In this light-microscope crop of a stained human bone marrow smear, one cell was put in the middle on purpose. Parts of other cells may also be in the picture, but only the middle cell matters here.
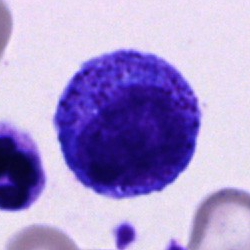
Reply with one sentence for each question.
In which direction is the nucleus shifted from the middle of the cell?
Seen from the middle of the cell, the nucleus lies toward the bottom.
